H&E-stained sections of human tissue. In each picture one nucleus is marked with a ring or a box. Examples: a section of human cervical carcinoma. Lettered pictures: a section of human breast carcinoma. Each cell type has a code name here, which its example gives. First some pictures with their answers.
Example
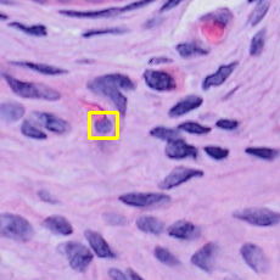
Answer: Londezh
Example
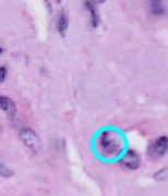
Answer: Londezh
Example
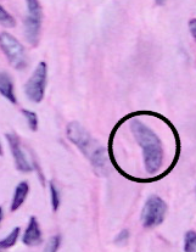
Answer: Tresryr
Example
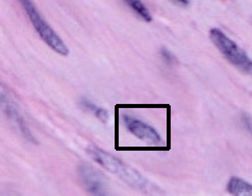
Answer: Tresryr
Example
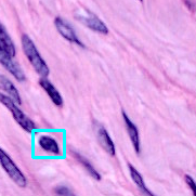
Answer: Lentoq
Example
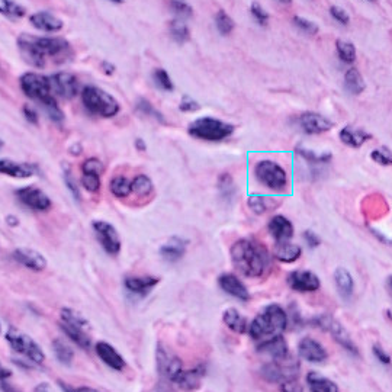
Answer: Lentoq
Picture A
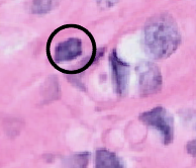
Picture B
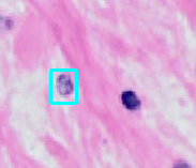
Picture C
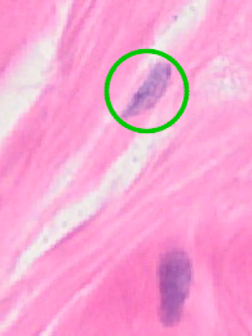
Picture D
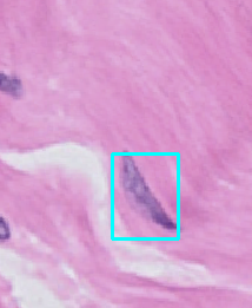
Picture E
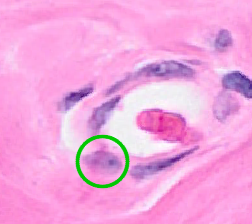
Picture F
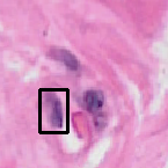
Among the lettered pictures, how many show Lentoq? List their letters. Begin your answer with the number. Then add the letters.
2: A, B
